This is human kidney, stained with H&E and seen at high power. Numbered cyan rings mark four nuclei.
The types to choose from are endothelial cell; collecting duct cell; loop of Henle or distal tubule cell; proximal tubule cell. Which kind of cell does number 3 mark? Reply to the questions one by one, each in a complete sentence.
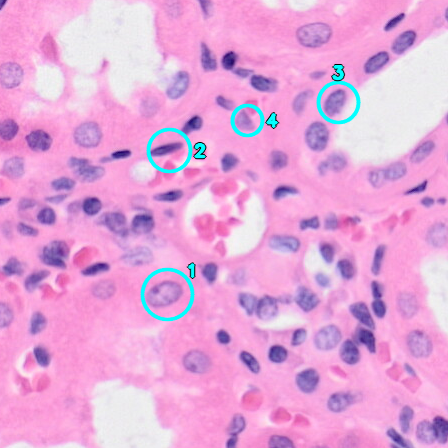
The identity of cell 3 is that of a collecting duct cell.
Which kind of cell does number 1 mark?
Looking at the numbered marks, cell 1 is a proximal tubule cell.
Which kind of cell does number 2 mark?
In this section, the cell numbered 2 is an endothelial cell.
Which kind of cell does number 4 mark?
The identity of cell 4 is that of an endothelial cell.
